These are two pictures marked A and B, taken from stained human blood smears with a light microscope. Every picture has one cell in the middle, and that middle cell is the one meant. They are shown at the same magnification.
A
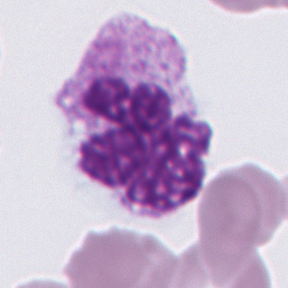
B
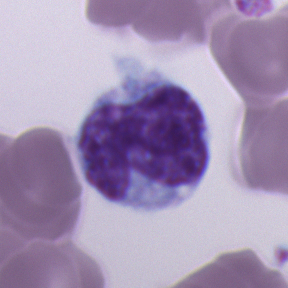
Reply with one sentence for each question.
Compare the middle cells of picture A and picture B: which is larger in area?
The cell in picture A is larger, with about 1.5 times the area of the one in picture B.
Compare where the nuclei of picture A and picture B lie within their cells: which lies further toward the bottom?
In picture A the nucleus is shifted more toward the bottom.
